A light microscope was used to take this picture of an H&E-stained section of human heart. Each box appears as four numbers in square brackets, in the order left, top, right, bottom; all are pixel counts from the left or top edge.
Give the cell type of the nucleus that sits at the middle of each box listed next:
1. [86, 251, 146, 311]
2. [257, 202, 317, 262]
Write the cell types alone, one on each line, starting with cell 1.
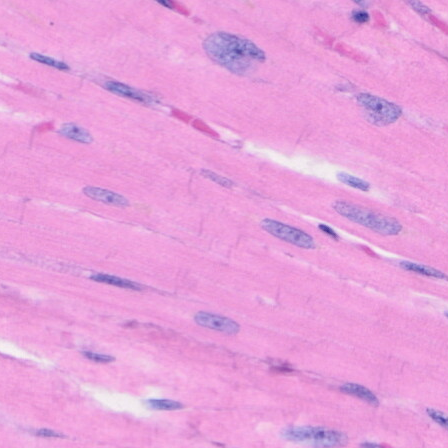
endothelial cell
cardiomyocyte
